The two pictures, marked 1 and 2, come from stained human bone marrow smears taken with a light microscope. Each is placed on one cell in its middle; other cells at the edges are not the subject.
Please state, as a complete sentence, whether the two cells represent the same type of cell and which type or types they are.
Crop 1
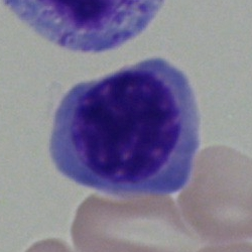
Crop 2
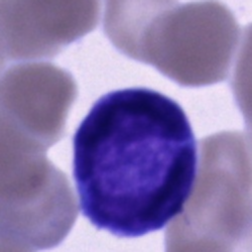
No, crop 1 is the one with a normoblast; crop 2 has a blast.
